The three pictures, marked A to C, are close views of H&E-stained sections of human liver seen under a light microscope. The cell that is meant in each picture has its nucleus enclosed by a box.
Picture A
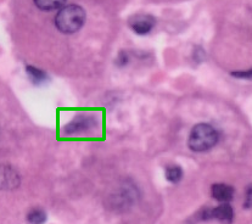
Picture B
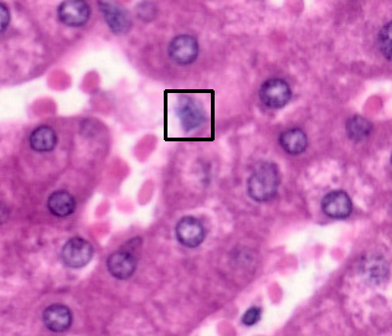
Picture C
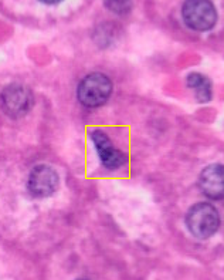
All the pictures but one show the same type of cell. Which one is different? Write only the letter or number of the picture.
B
